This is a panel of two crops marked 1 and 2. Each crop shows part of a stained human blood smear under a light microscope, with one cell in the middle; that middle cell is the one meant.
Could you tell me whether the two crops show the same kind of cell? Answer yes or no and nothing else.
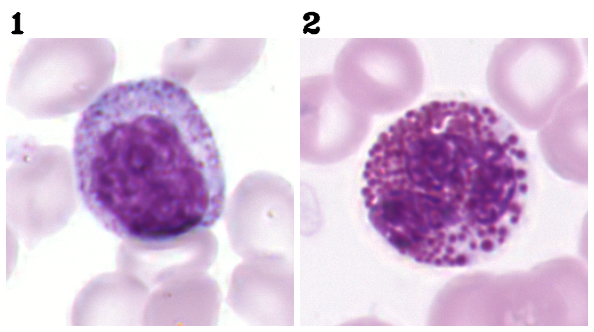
no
